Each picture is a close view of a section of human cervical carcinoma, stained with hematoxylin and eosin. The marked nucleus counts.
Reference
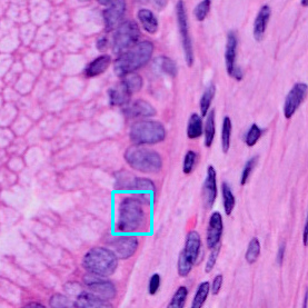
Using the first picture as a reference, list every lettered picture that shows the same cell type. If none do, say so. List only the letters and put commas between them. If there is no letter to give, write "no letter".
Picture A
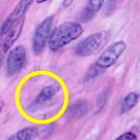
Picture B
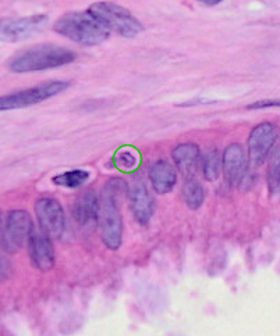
B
